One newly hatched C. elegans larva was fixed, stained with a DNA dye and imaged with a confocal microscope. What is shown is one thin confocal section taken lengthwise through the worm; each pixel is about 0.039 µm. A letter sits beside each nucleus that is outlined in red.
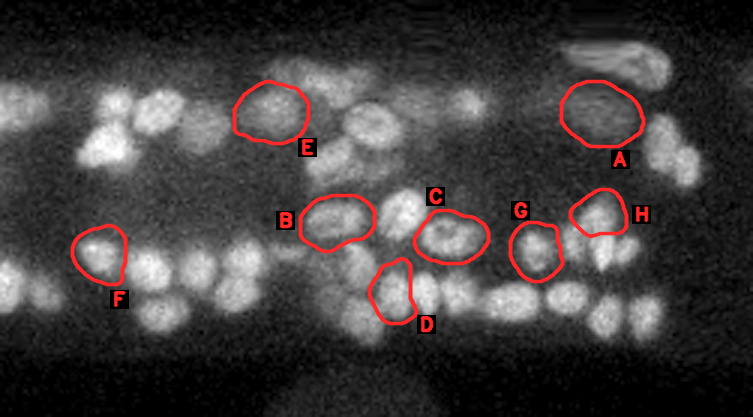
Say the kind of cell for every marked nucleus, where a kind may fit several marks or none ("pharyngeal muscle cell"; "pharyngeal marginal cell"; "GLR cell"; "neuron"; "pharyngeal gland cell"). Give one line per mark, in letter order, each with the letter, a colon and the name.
A: pharyngeal gland cell
B: pharyngeal marginal cell
C: neuron
D: neuron
E: neuron
F: GLR cell
G: pharyngeal marginal cell
H: pharyngeal muscle cell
